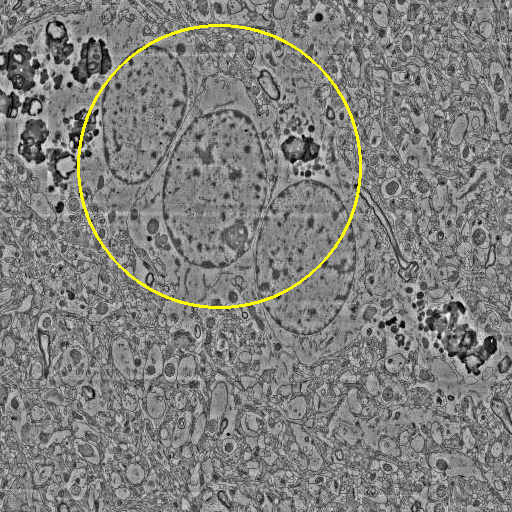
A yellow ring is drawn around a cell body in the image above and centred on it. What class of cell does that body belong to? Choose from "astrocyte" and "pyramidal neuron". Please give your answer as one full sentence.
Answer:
The yellow ring above is centred on the cell body of an astrocyte.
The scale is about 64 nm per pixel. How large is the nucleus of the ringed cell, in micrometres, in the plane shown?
About 10 by 6 micrometres; in this plane the nucleus is clearly longer than it is wide.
